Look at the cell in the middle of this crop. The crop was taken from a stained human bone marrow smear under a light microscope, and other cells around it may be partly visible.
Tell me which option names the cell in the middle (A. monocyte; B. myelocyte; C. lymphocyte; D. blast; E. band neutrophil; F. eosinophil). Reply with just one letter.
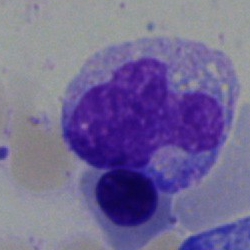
A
